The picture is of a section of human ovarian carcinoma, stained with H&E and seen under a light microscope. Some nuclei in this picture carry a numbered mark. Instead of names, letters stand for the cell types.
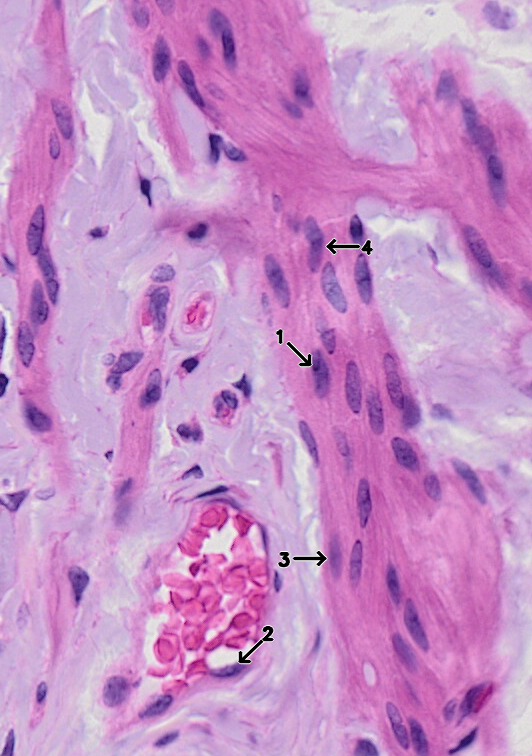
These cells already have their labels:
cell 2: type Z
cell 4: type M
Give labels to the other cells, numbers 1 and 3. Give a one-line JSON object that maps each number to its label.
{"1": "type M", "3": "type M"}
